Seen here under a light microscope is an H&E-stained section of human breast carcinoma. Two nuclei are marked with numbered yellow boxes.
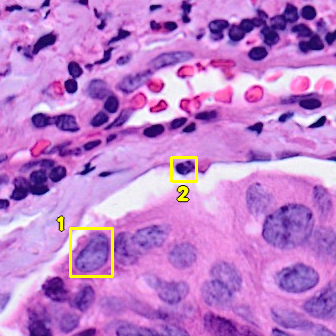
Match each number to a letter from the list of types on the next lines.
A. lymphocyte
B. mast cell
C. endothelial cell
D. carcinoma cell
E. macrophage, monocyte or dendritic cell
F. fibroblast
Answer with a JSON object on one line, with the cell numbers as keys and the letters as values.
{"1": "D", "2": "A"}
